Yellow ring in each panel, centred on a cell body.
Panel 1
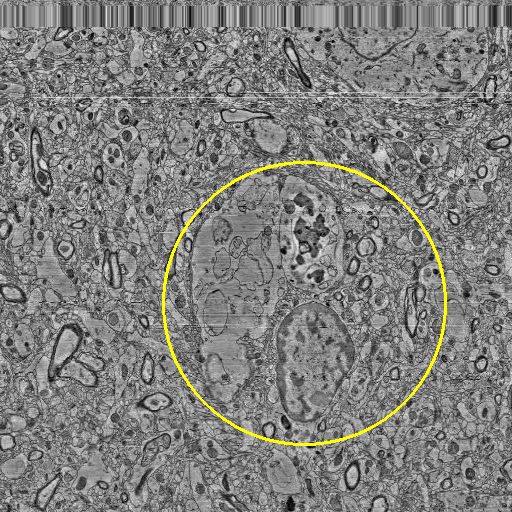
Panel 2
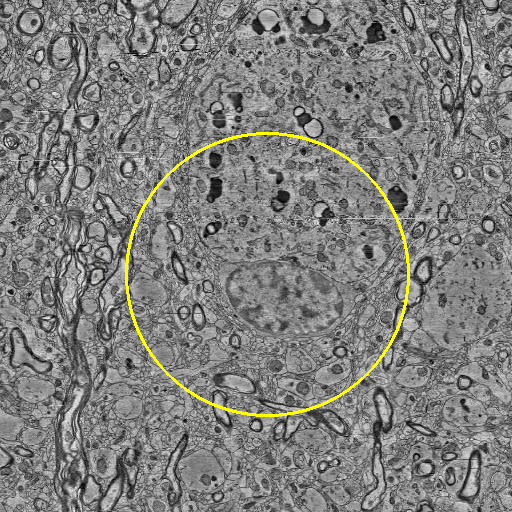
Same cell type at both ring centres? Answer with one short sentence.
No, the two cells are of two types.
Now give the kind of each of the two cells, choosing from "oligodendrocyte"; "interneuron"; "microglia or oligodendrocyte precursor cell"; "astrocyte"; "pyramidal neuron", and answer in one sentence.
The cell in the first picture is a microglial cell or oligodendrocyte precursor cell, and the cell in the second is an oligodendrocyte.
